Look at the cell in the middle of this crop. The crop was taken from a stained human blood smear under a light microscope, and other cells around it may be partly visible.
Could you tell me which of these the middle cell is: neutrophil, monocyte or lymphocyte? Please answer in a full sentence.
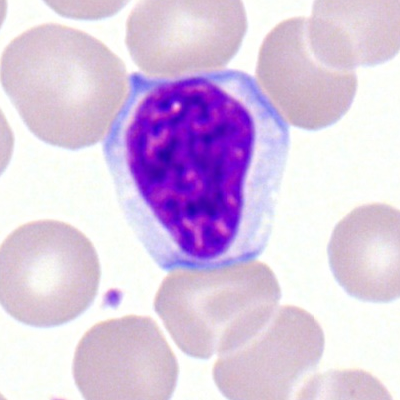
The cell under consideration, at the middle of the crop, is a lymphocyte.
